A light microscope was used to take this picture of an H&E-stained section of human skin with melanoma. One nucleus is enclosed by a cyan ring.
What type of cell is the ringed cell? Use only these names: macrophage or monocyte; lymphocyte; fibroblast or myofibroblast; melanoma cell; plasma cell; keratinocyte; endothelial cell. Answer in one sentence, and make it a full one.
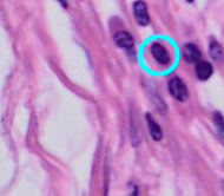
At the level of cell identity, the ringed cell is a plasma cell.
